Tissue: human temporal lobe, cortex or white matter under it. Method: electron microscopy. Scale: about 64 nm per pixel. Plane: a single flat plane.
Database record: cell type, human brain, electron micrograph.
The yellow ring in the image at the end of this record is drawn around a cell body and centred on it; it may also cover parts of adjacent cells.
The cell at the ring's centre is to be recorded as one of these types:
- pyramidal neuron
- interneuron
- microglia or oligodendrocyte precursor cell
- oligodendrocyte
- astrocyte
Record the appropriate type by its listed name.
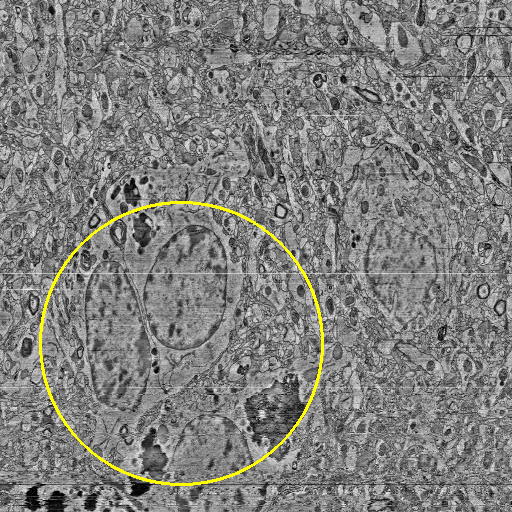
astrocyte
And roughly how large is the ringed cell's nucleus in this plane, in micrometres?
In this plane, about 8 by 5 micrometres: the nucleus is clearly longer than it is wide.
